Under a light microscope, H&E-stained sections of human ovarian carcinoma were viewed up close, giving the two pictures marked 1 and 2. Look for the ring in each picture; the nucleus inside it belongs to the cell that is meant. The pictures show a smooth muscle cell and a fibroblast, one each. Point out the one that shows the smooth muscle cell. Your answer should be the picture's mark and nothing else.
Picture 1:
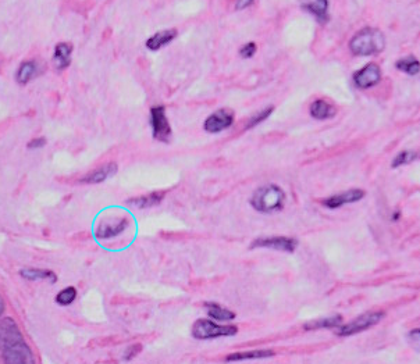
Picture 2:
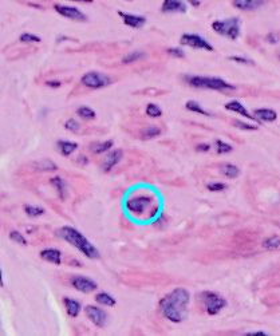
2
